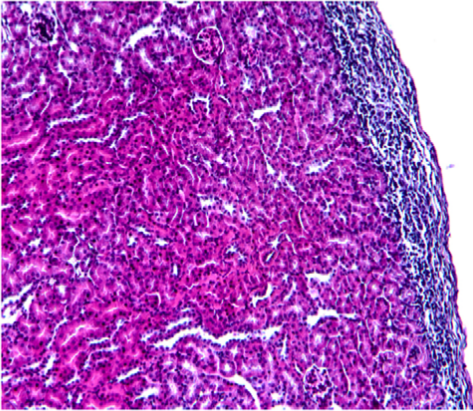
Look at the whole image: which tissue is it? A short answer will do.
Kidneys.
